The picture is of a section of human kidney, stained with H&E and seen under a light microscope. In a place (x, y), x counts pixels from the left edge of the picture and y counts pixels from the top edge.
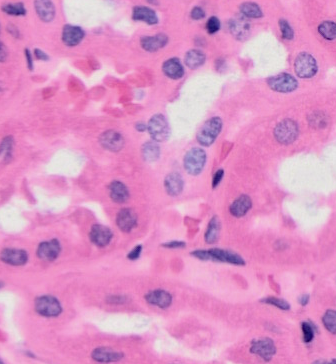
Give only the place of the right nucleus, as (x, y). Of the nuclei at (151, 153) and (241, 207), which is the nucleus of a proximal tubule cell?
(241, 207)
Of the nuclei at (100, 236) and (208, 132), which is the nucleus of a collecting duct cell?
(208, 132)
